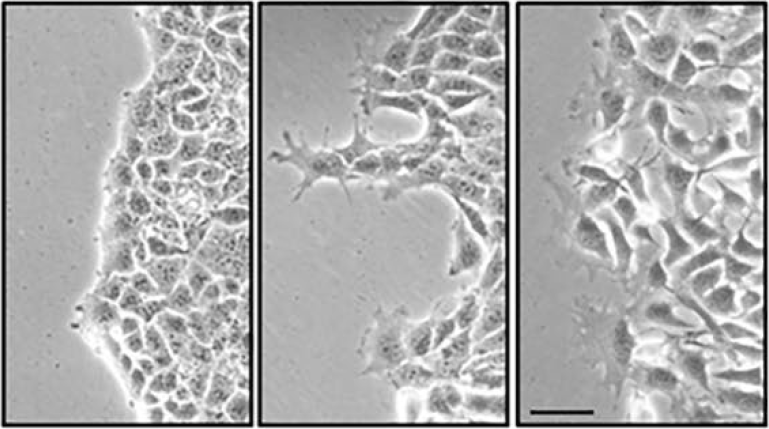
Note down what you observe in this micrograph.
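Cultured cells are shown at the leading edge of a migrating cell sheet, in three side-by-side views, with the cell-free space on the left. In the first view the cells are small, polygonal and tightly packed in a cobblestone pattern, and the edge is fairly smooth. In the second view the border is ragged: single cells and small groups stretch long, pointed processes into the open space ahead of the sheet. In the third view the cells at the margin are larger and flattened, with broad, spread cytoplasm and bright outlines.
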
